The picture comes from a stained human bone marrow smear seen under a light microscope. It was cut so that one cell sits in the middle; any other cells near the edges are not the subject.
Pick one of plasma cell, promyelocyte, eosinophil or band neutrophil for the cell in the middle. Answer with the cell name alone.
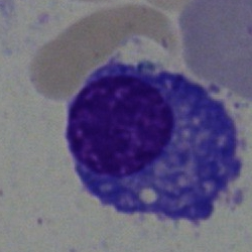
plasma cell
